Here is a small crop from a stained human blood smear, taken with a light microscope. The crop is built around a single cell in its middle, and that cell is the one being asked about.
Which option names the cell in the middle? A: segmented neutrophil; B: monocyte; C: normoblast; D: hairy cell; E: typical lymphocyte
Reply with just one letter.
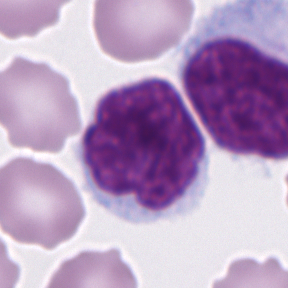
D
